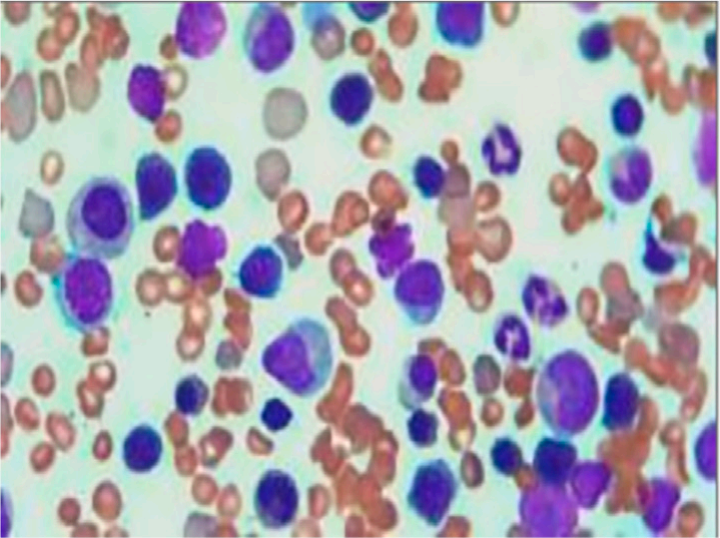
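This is a bone marrow smear crowded with nucleated red cell precursors, the erythroblasts. Most of the nucleated cells are round, with a single round nucleus stained dark purple and a rim of cytoplasm that is deep blue. Some are larger, with paler, finer chromatin and more blue cytoplasm, while others are small, with compact, almost black nuclei. Only a few cells show lobed or segmented nuclei. Around them lie many pink-brown mature red cells, some of them clumped and unevenly shaped. The nucleated cells are mostly of the red cell line rather than of the granulocyte line.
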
